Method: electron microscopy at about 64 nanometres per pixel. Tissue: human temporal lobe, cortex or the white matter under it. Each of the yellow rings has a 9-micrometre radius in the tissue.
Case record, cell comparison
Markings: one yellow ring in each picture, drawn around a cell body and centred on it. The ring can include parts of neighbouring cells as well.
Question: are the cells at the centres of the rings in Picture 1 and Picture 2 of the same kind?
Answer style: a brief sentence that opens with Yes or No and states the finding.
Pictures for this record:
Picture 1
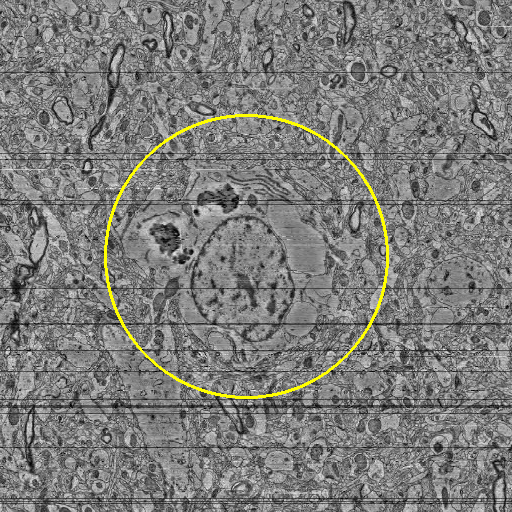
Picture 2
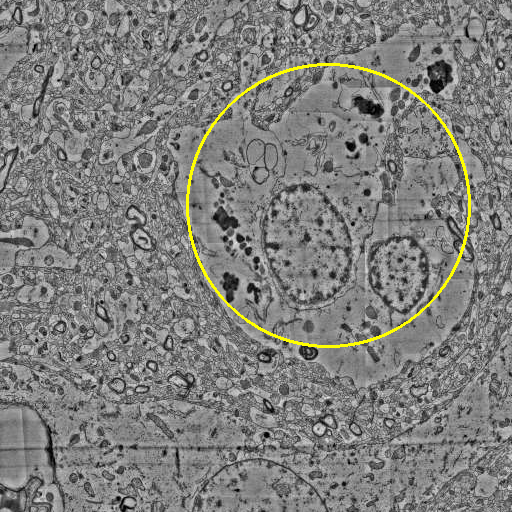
Yes, the cells in Picture 1 and Picture 2 are of the same kind.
